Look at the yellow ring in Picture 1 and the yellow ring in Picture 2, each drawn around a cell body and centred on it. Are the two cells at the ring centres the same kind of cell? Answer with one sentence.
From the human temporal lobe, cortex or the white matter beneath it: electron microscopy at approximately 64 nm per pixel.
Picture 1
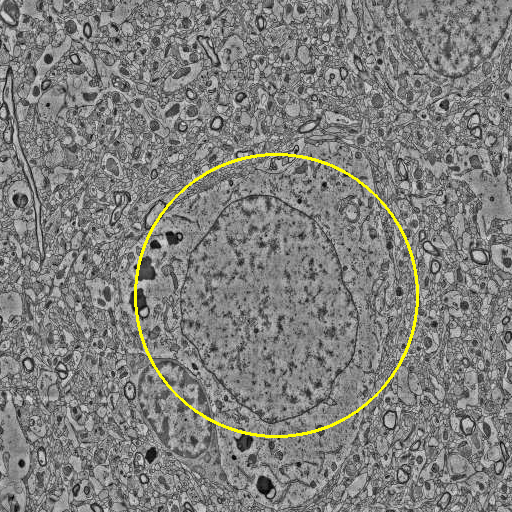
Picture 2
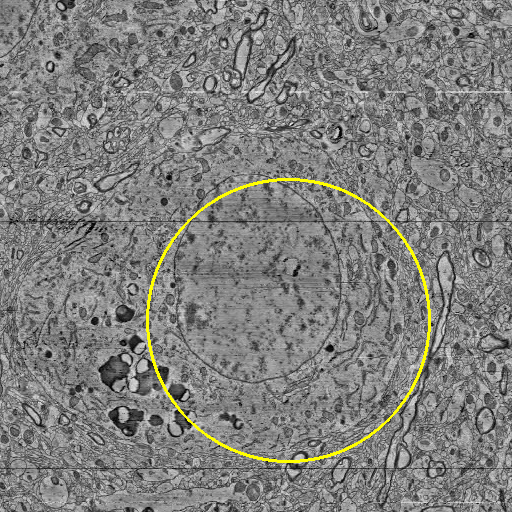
Yes, both are the same kind of cell.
